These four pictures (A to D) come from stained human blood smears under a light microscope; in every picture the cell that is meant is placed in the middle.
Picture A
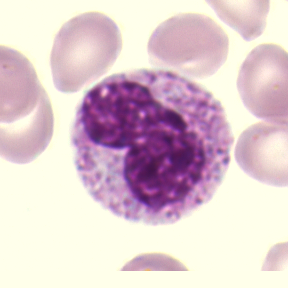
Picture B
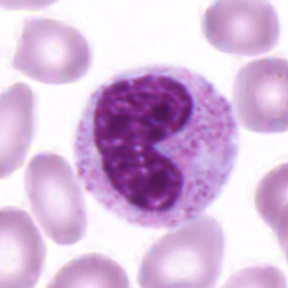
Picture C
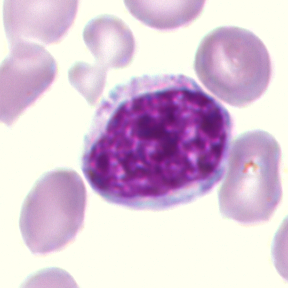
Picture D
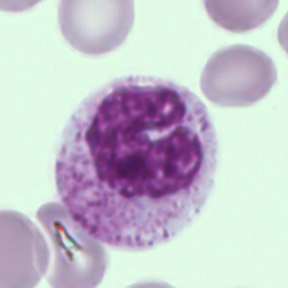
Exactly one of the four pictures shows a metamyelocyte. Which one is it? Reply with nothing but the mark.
C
